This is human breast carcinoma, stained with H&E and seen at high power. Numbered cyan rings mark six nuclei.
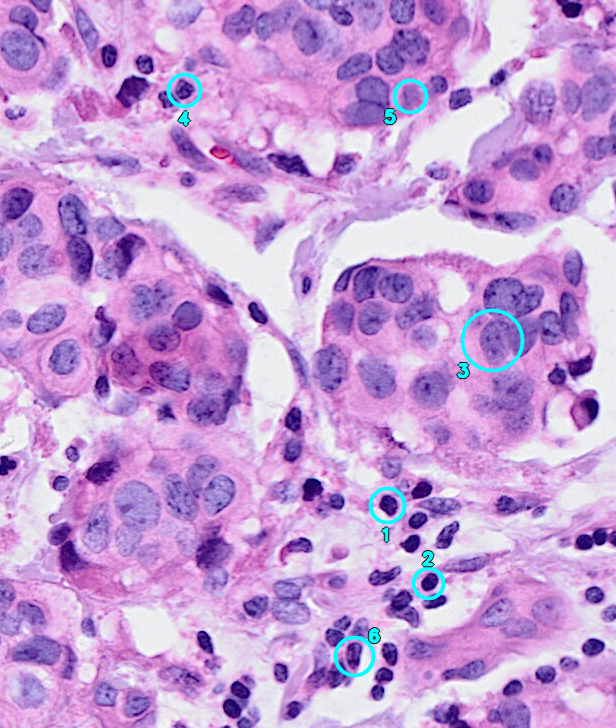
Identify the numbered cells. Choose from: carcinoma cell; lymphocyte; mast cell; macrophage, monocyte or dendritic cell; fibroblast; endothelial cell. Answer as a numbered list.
1. lymphocyte
2. lymphocyte
3. carcinoma cell
4. lymphocyte
5. carcinoma cell
6. lymphocyte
